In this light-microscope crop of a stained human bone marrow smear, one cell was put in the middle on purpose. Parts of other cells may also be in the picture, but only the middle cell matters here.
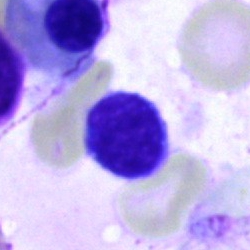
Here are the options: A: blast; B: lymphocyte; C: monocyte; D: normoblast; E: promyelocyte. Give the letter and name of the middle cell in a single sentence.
The cell right in the middle is a lymphocyte, so option B is the one.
